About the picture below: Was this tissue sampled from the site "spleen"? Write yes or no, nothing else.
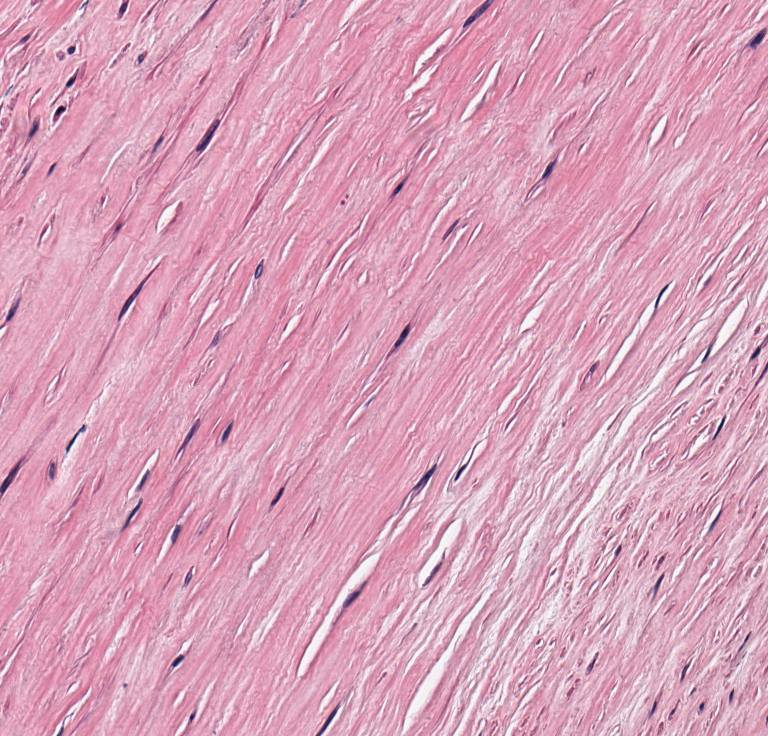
no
